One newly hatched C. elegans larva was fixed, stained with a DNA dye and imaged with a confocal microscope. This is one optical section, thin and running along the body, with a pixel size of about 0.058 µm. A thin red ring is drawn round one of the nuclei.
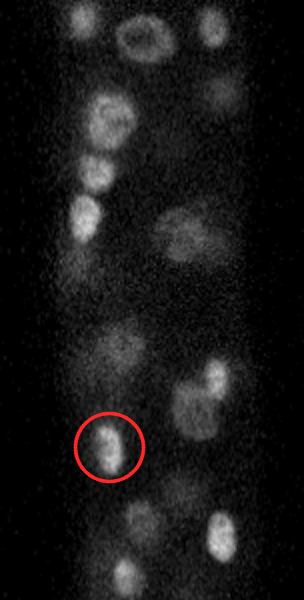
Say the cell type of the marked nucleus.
body wall muscle cell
